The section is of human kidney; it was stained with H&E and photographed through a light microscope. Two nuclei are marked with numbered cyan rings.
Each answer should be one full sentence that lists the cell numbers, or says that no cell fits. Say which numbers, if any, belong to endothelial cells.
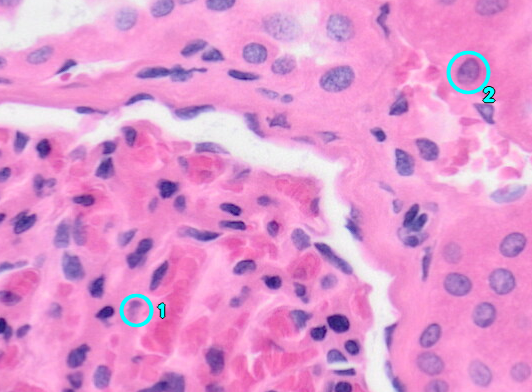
Exactly one numbered cell is an endothelial cell, and that cell is number 1.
